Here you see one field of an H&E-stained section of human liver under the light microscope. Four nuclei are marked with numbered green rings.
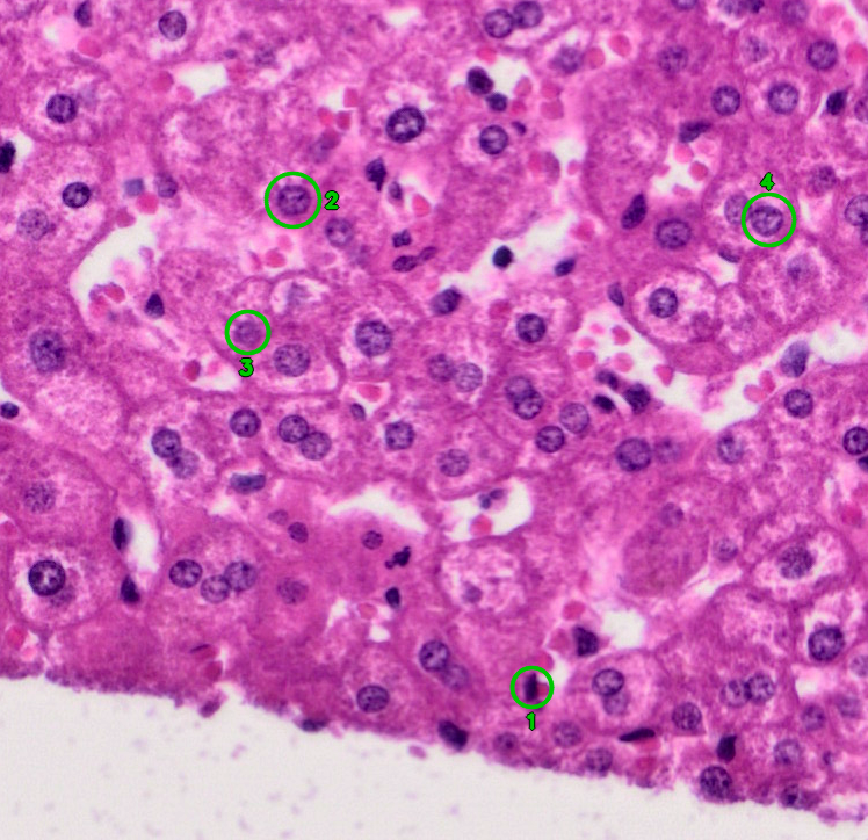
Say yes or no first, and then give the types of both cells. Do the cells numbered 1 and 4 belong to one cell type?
No, cell number 1 is an endothelial cell, and cell number 4 is a hepatocyte.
